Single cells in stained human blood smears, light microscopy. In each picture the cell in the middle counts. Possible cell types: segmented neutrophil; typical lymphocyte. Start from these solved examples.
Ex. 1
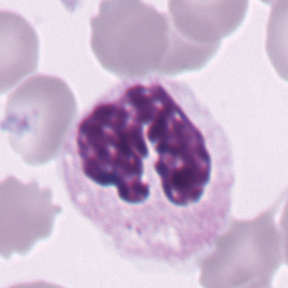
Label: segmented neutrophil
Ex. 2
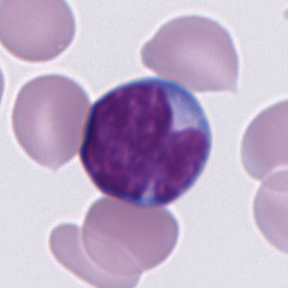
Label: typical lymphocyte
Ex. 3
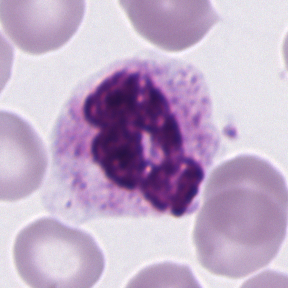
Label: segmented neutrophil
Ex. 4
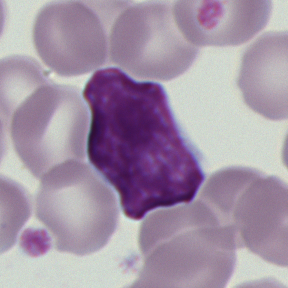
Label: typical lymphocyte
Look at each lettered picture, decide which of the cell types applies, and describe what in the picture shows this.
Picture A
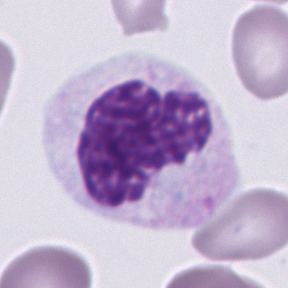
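segmented neutrophil. Evidence: The cytoplasm forms a wide rim around the nucleus.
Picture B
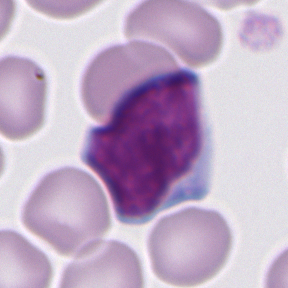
typical lymphocyte. Evidence: The nucleus is a single unlobed mass filling most of the cell.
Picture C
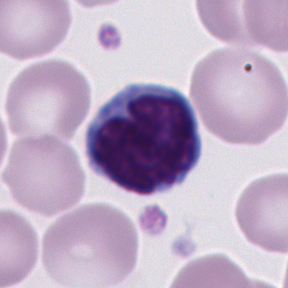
typical lymphocyte. Evidence: The cytoplasm forms a thin blue rim, widest at the upper left.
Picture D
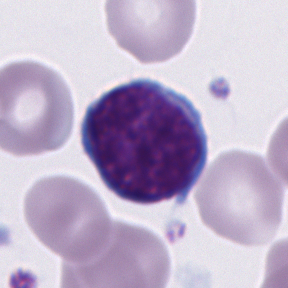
typical lymphocyte. Evidence: The cytoplasm forms only a thin blue rim around the nucleus.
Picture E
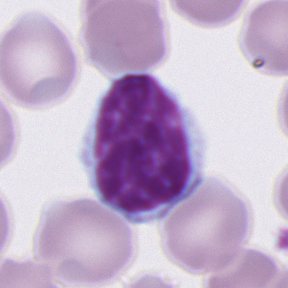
typical lymphocyte. Evidence: The cytoplasm forms only a narrow rim around the nucleus.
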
